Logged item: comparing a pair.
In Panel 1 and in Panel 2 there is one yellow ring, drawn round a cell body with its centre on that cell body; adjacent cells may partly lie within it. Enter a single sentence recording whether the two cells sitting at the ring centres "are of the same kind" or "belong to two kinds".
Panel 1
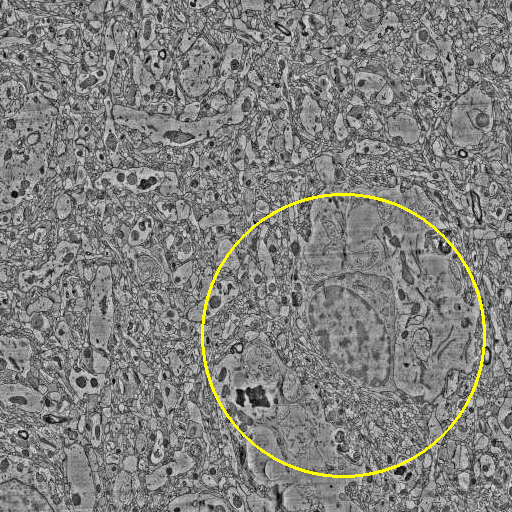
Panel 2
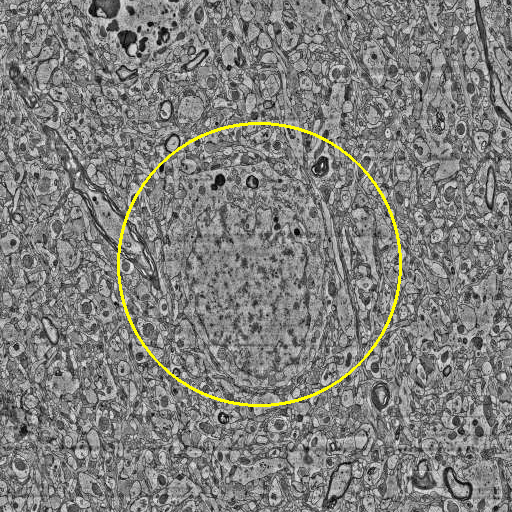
Logged: the cells centred in the rings of Panel 1 and Panel 2 belong to two kinds.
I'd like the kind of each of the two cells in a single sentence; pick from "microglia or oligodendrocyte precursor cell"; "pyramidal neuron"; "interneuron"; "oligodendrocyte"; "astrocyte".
The first ring marks an oligodendrocyte, and the second ring marks an interneuron.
